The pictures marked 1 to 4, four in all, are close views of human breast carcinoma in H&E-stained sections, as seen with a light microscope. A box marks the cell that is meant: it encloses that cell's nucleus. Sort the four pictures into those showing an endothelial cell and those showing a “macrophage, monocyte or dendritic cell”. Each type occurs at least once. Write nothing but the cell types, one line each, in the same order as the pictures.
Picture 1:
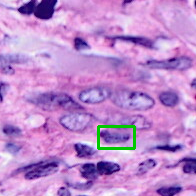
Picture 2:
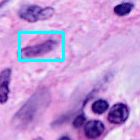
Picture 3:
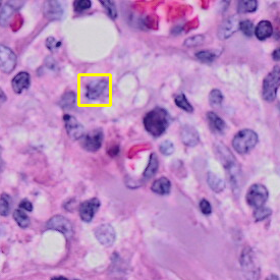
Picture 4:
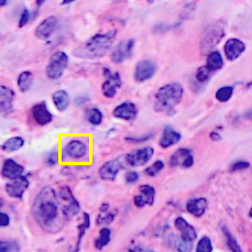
endothelial cell
macrophage, monocyte or dendritic cell
macrophage, monocyte or dendritic cell
macrophage, monocyte or dendritic cell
